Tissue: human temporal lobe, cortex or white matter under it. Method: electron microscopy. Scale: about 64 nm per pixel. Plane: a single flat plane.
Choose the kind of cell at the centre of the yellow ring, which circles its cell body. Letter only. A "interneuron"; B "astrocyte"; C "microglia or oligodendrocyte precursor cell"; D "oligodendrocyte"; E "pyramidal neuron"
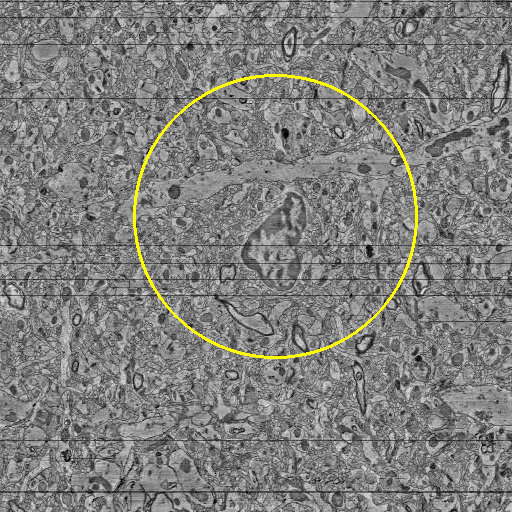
C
